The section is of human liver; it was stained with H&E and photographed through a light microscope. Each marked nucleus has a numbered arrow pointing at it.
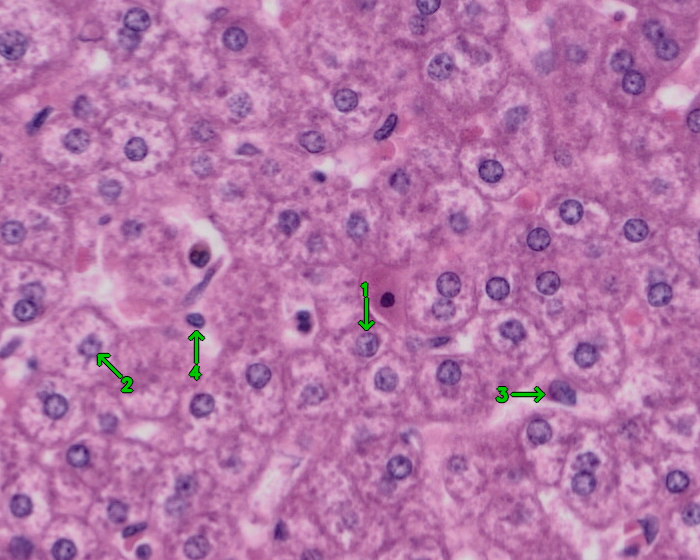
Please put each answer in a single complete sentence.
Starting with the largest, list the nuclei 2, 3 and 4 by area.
By area, largest first, they run 3, 2, 4.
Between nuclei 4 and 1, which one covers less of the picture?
Nucleus 4 is the smaller one; nucleus 1 covers about 2 times its area.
